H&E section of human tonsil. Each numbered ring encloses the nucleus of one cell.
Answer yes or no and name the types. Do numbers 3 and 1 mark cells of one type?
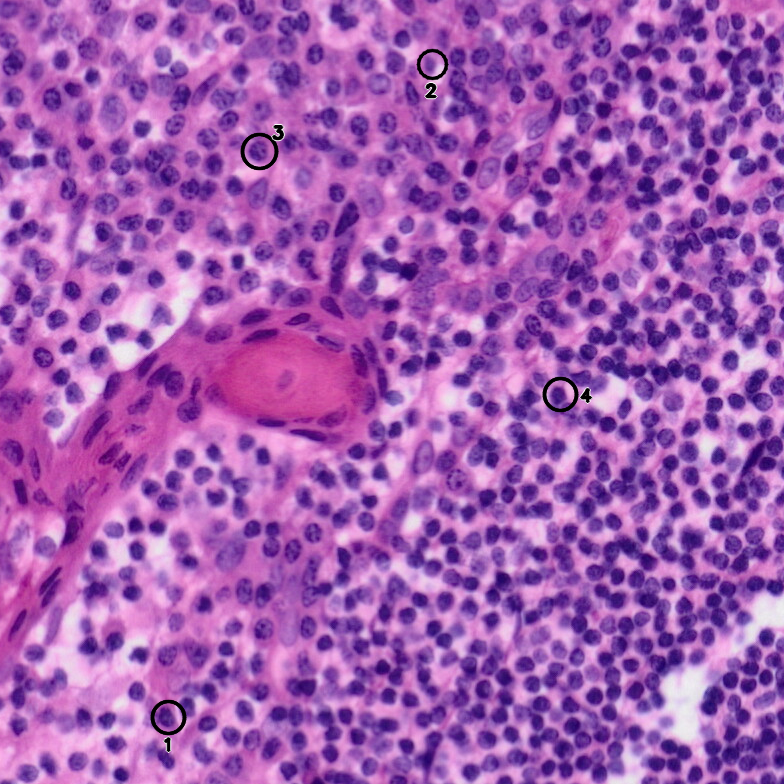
Yes, both are plasma cells.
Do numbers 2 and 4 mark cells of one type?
No, cell 2 is a plasma cell and cell 4 is a small lymphocyte.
